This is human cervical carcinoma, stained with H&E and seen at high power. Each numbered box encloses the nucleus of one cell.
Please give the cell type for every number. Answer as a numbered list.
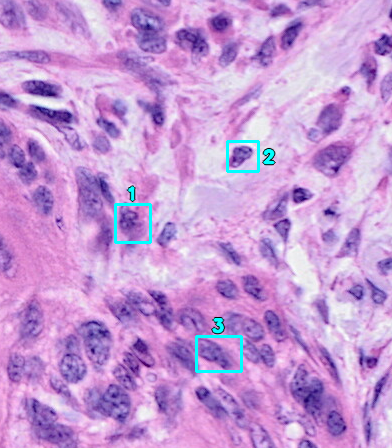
1. macrophage or monocyte
2. lymphocyte
3. squamous carcinoma cell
